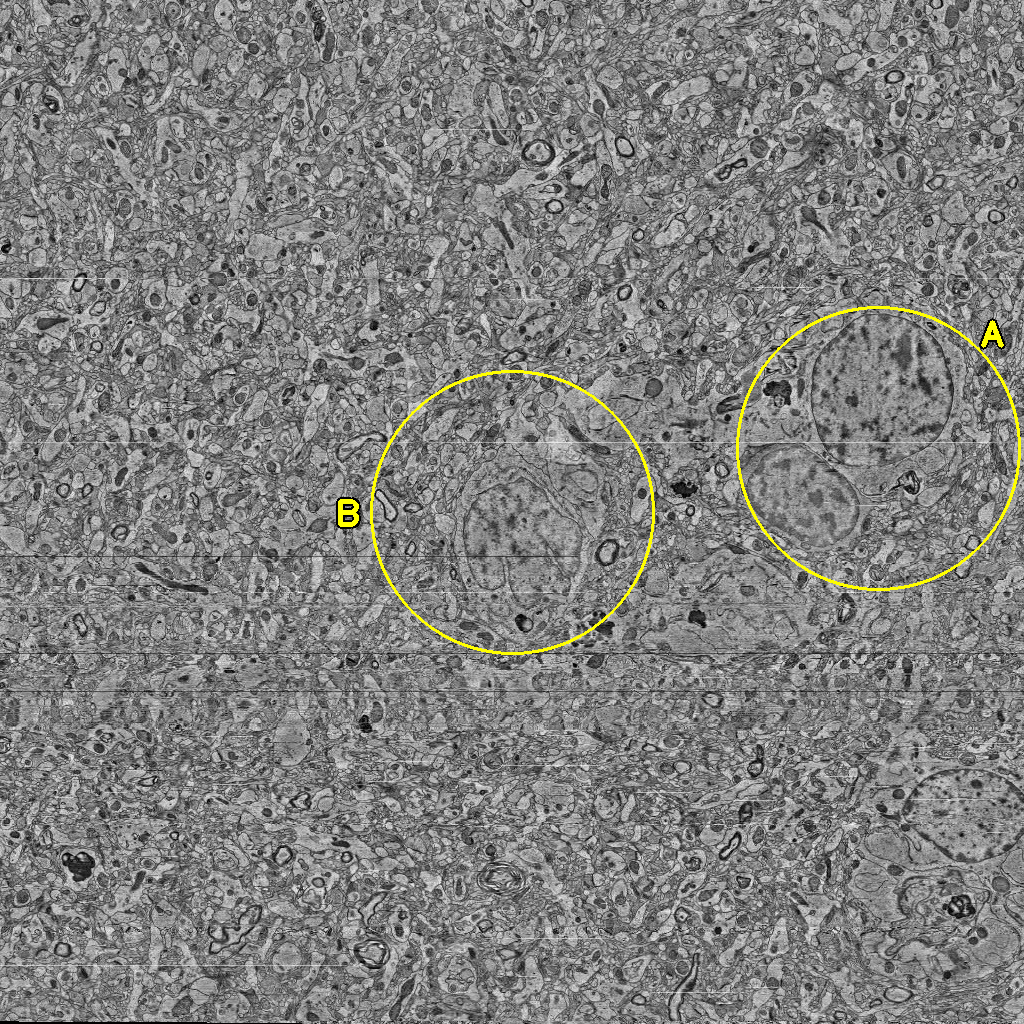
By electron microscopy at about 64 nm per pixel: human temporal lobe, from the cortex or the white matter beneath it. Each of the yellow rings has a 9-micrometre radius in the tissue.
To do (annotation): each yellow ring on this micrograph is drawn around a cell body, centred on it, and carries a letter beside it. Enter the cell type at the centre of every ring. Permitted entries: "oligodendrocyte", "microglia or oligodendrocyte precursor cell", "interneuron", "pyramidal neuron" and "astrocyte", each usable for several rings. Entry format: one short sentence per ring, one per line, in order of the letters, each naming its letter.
Ring A: the cell at its centre is an astrocyte.
Ring B: the cell at its centre is an interneuron.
